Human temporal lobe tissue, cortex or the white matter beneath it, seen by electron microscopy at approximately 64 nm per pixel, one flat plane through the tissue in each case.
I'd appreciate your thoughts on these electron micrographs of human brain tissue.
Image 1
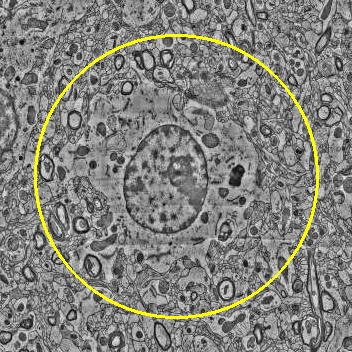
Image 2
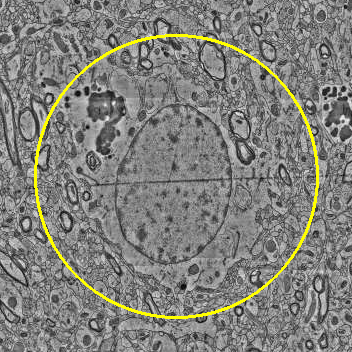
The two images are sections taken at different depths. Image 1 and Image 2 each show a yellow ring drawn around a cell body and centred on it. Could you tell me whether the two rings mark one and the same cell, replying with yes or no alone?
yes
